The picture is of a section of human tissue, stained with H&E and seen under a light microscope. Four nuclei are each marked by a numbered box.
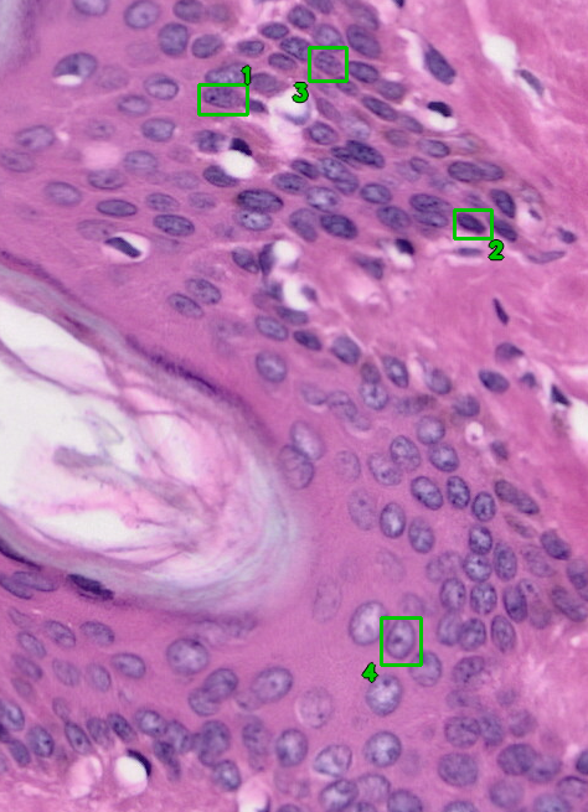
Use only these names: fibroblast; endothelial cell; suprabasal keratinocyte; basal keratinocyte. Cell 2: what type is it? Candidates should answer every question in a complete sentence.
That cell with number 2 is a basal keratinocyte.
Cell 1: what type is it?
Cell 1, among those numbered, is a basal keratinocyte.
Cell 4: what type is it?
The cell marked with number 4 is a suprabasal keratinocyte.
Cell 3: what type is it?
Number 3 among the marked cells is a basal keratinocyte.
